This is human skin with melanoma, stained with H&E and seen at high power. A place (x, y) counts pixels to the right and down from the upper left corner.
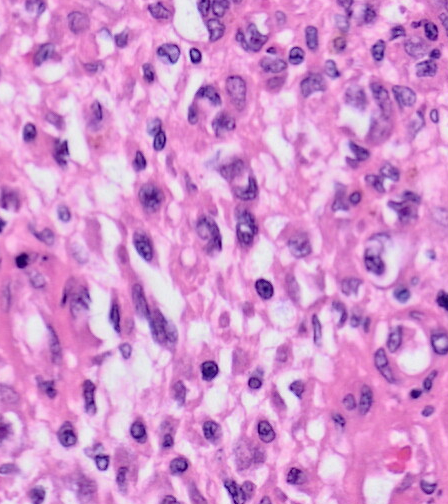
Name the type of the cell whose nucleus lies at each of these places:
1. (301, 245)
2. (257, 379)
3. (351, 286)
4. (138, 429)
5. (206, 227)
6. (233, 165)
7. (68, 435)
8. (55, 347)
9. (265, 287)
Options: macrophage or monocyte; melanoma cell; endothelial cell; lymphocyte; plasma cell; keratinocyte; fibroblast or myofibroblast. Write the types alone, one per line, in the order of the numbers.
melanoma cell
macrophage or monocyte
melanoma cell
macrophage or monocyte
melanoma cell
melanoma cell
macrophage or monocyte
endothelial cell
lymphocyte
